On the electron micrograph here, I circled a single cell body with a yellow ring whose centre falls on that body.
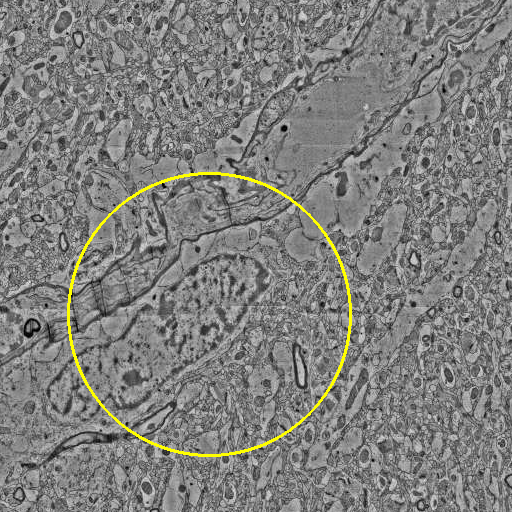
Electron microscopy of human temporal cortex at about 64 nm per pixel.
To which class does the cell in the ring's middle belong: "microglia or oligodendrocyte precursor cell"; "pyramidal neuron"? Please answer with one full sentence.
In this picture, the cell body circled at the ring's centre belongs to a microglial cell or oligodendrocyte precursor cell.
